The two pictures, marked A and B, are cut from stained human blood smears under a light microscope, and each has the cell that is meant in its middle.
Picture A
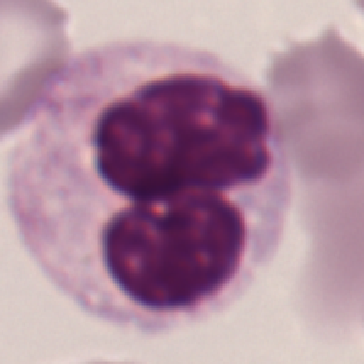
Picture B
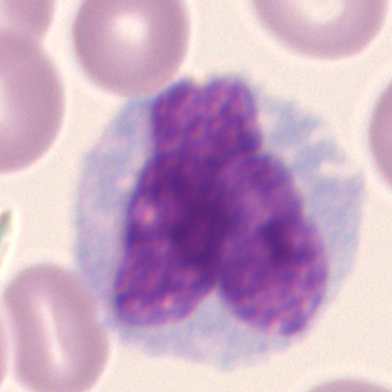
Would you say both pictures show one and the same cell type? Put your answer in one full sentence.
No, they differ: the cell is a segmented neutrophil in picture A and a monocyte in picture B.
